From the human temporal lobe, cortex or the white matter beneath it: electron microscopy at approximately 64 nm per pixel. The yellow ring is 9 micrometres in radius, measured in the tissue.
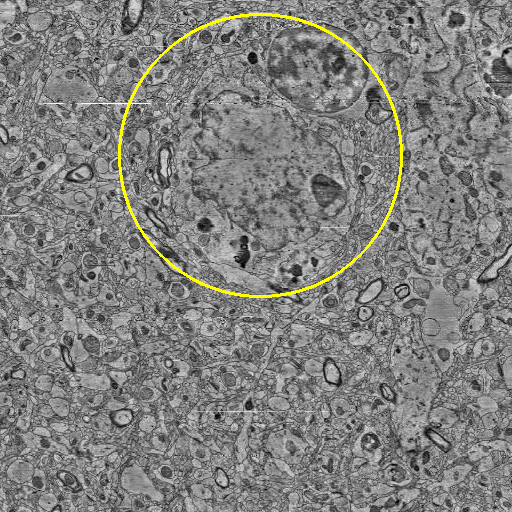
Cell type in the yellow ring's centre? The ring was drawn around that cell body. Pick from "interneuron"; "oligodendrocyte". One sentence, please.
The ringed cell body is that of an interneuron.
